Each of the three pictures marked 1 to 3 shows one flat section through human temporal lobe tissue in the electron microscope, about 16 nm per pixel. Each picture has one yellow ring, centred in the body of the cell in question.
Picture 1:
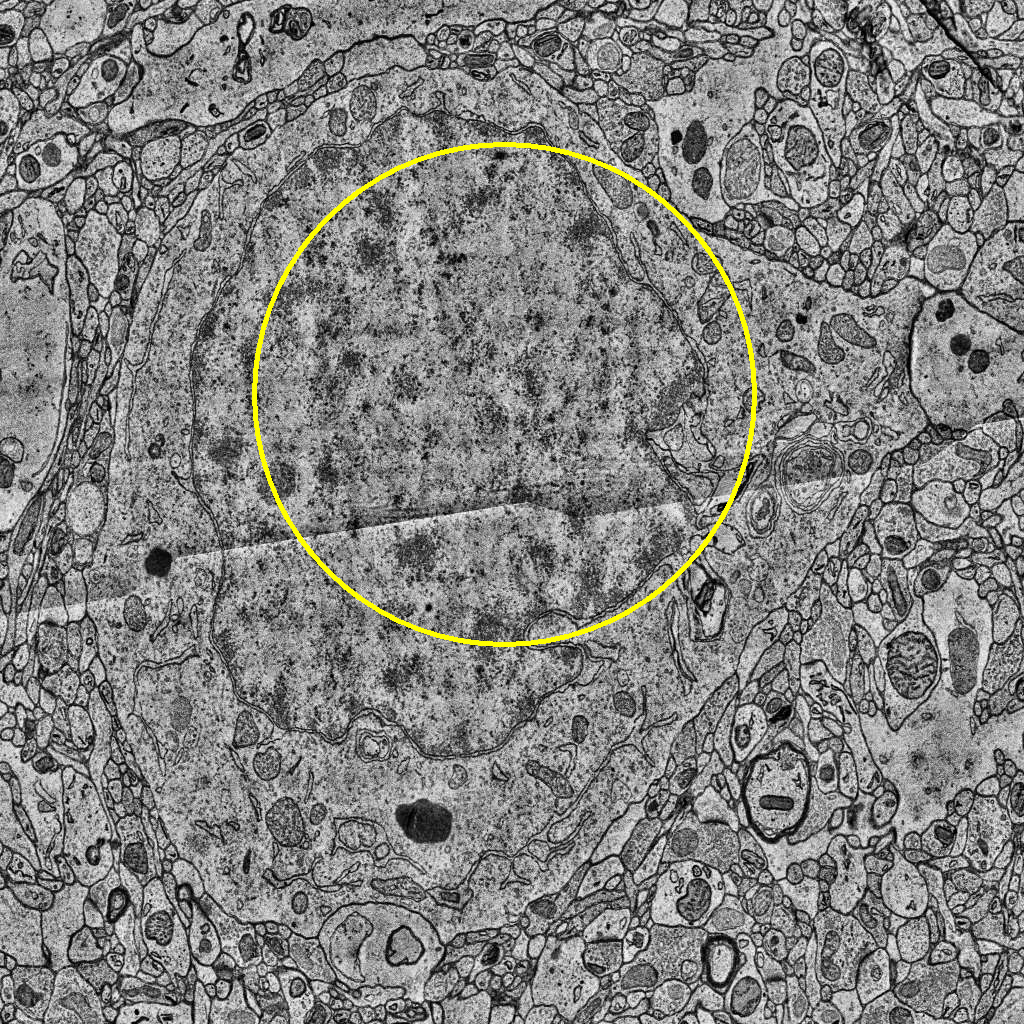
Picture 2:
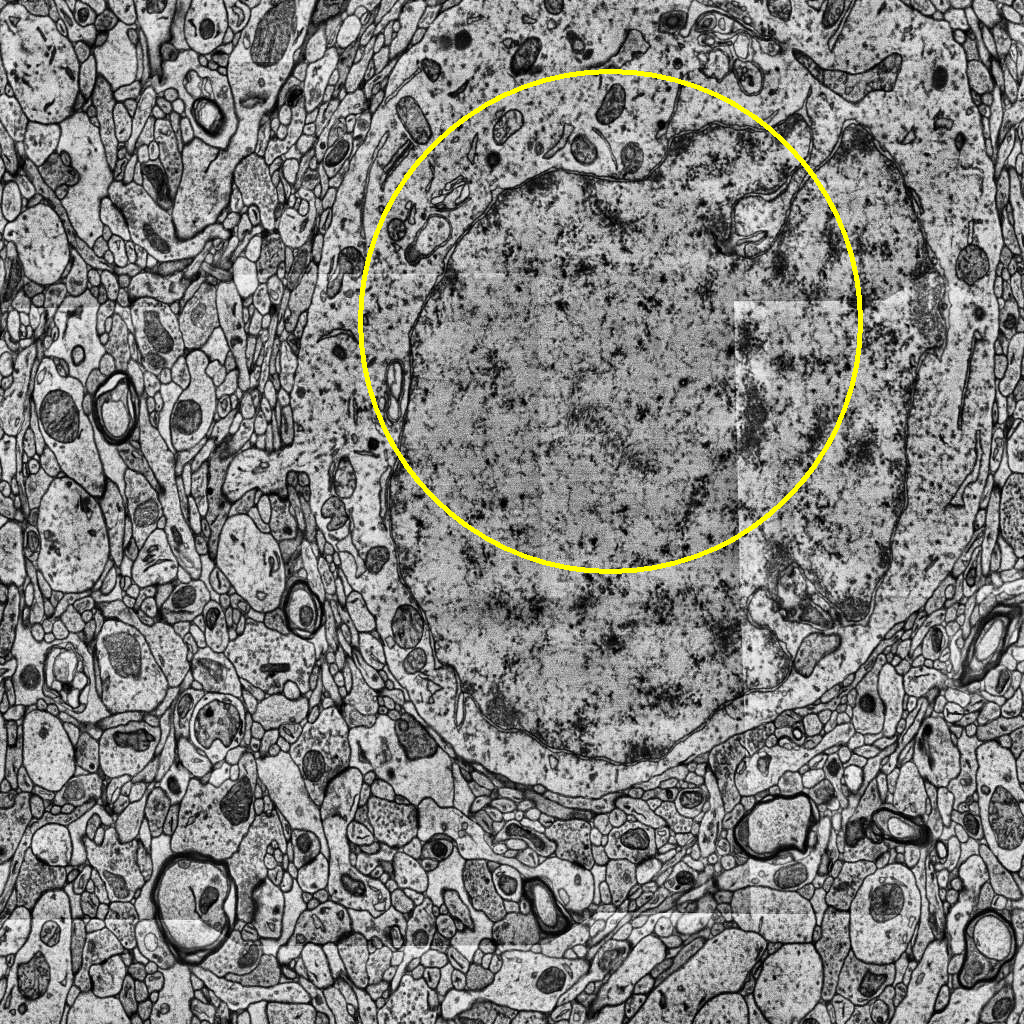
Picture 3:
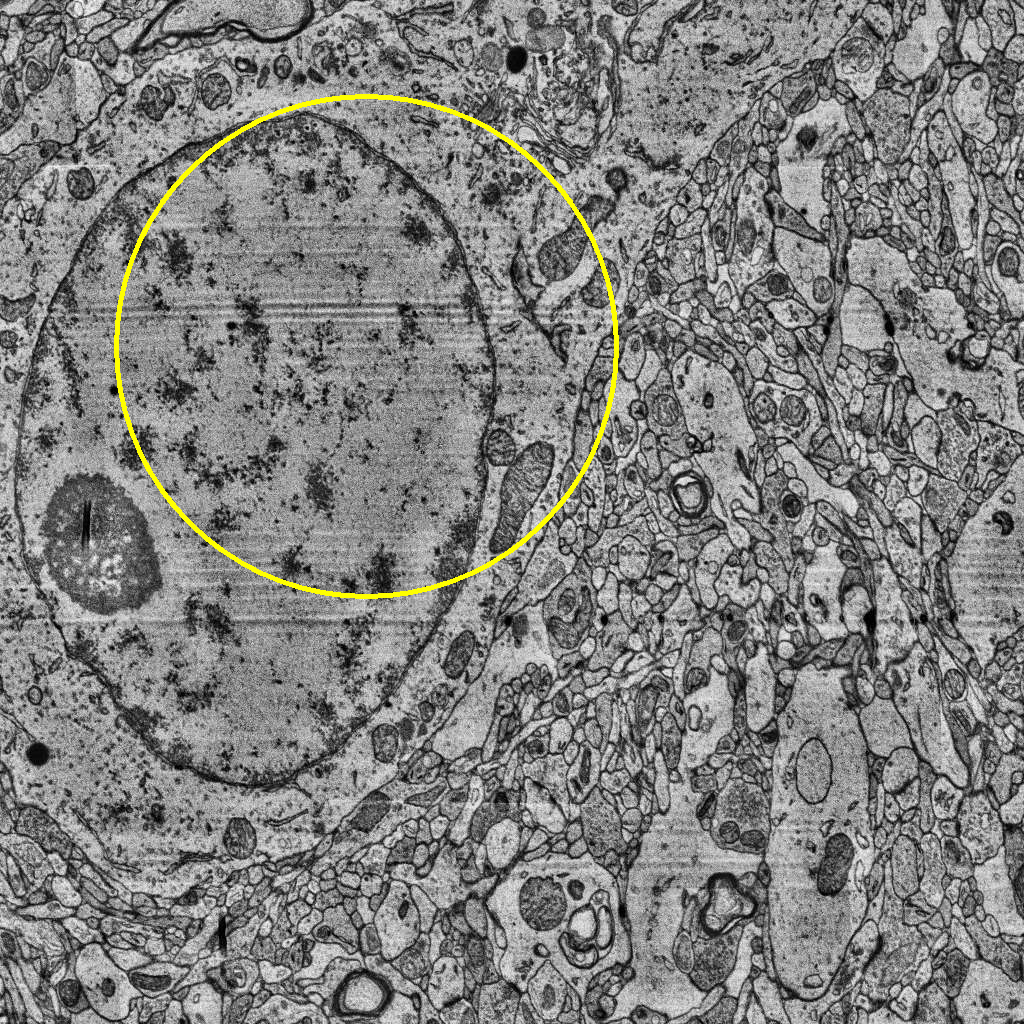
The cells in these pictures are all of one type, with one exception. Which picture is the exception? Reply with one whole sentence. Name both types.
Unlike the rest, which show interneurons, picture 3 shows a pyramidal neuron.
